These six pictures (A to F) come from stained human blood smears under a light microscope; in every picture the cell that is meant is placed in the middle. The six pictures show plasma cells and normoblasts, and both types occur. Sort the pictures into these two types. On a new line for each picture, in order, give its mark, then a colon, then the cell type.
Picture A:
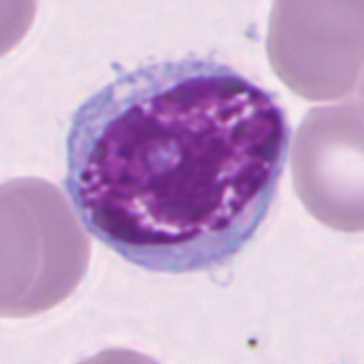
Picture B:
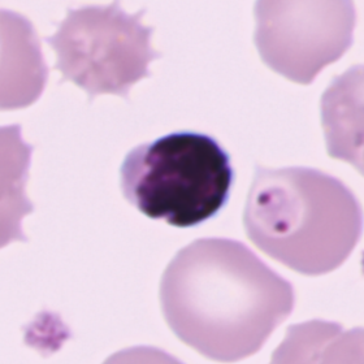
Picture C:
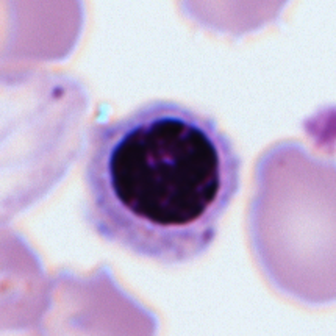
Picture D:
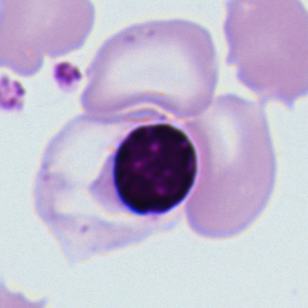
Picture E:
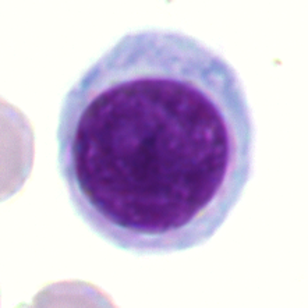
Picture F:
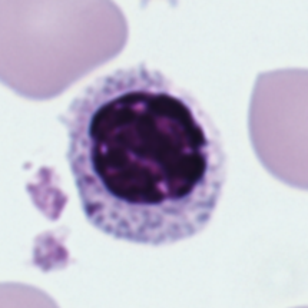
A: plasma cell
B: normoblast
C: normoblast
D: normoblast
E: plasma cell
F: normoblast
